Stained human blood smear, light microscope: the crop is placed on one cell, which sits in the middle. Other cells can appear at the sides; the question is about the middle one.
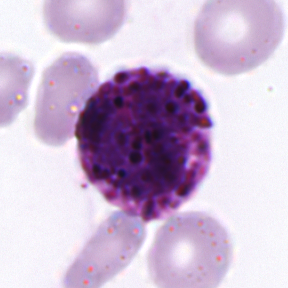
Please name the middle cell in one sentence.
At the crop's centre, the cell is a basophil.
